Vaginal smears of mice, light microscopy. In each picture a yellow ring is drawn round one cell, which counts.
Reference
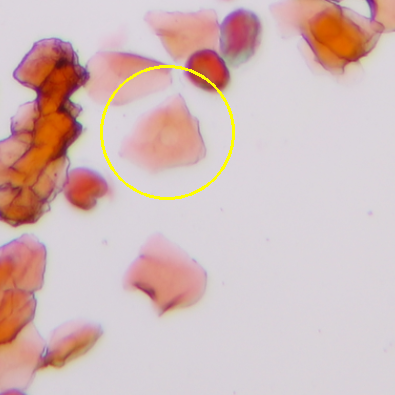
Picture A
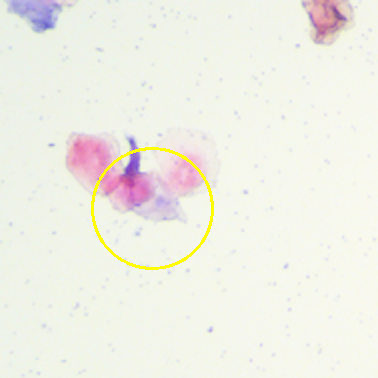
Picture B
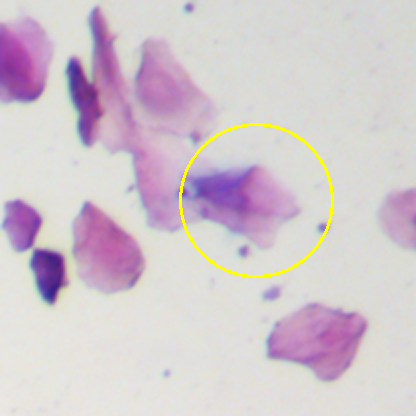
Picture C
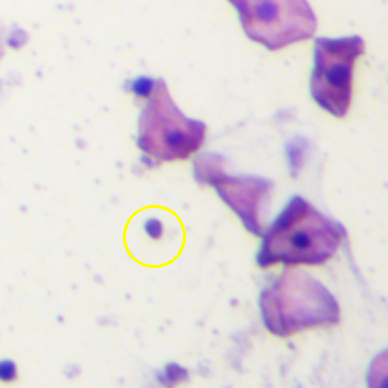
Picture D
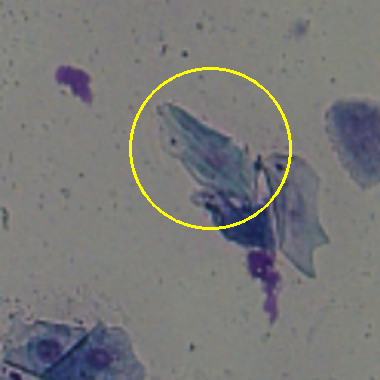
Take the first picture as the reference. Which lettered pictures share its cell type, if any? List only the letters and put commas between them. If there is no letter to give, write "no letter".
A, B, D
